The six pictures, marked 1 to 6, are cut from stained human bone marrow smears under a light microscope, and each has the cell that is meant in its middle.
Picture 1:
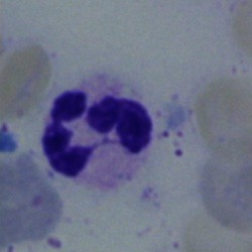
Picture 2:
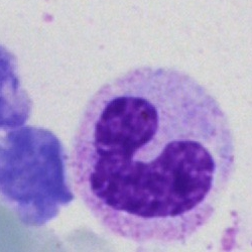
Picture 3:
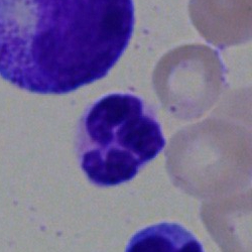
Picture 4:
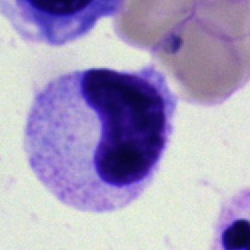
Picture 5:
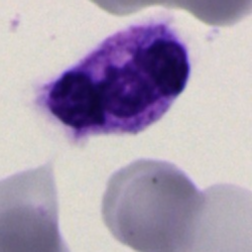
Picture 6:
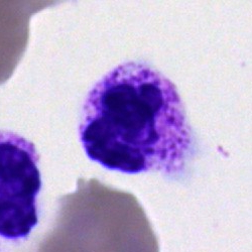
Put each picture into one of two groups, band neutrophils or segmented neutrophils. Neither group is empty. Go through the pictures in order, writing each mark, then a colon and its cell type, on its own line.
1: segmented neutrophil
2: band neutrophil
3: segmented neutrophil
4: band neutrophil
5: band neutrophil
6: segmented neutrophil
